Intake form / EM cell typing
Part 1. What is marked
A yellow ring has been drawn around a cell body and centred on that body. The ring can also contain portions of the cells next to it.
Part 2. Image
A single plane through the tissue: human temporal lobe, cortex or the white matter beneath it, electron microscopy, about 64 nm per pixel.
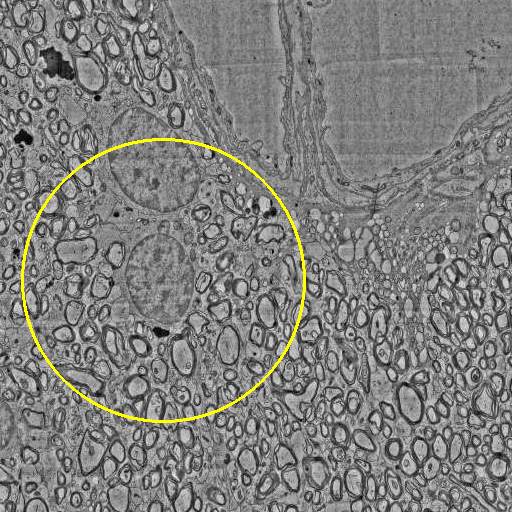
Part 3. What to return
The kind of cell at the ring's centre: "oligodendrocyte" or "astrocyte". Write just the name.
oligodendrocyte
